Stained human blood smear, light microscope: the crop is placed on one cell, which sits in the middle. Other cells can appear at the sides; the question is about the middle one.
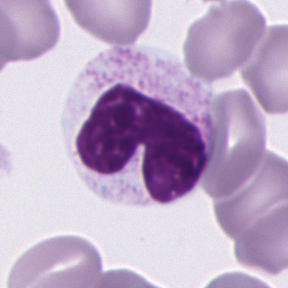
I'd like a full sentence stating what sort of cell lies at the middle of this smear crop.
Among the cells in view, the one in the middle is a band neutrophil.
